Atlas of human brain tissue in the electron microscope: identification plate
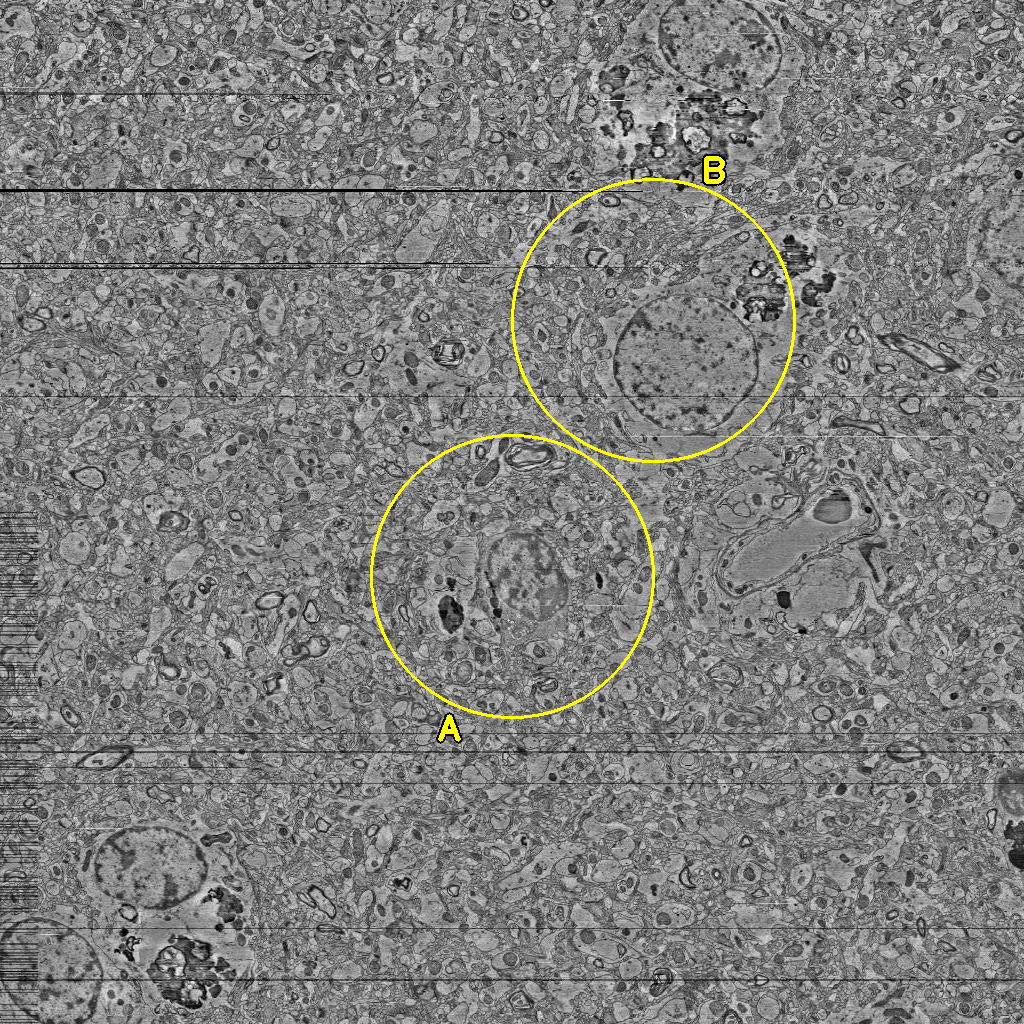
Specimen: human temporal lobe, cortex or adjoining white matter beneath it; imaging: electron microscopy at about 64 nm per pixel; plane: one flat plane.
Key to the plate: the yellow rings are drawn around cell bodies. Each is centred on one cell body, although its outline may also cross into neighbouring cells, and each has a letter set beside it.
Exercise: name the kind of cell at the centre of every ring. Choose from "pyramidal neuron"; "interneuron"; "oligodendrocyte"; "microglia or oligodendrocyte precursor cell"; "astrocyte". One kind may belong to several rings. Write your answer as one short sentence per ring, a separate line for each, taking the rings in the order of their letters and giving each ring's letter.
The centre of ring A is occupied by an oligodendrocyte.
The centre of ring B is occupied by an astrocyte.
